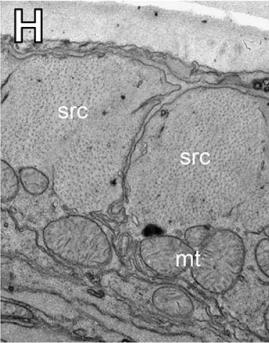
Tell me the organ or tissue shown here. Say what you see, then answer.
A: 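Dotted arrays of myofilaments cut in cross-section lie under the cuticle. A row of mitochondria lies beneath the filament blocks.
Hence: body-wall muscles.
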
